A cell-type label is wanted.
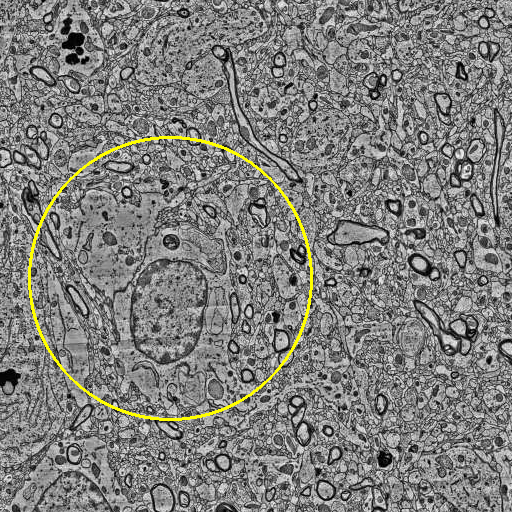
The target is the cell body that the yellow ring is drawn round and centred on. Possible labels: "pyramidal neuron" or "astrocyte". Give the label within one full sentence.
Of the labels offered, the cell in the middle of the yellow ring is an astrocyte.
